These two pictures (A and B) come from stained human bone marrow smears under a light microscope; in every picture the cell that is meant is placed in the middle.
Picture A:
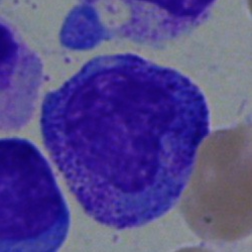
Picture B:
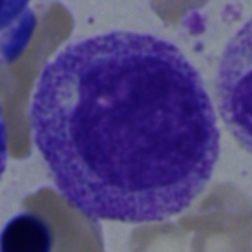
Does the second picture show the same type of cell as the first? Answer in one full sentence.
No, the types are not the same, since picture A shows a promyelocyte and picture B a myelocyte.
